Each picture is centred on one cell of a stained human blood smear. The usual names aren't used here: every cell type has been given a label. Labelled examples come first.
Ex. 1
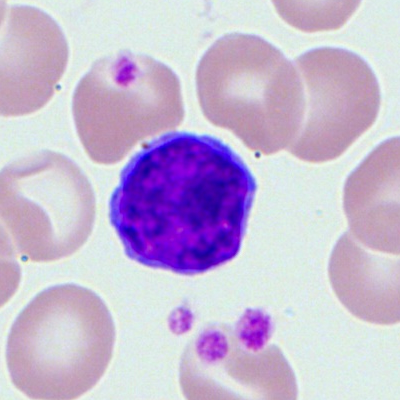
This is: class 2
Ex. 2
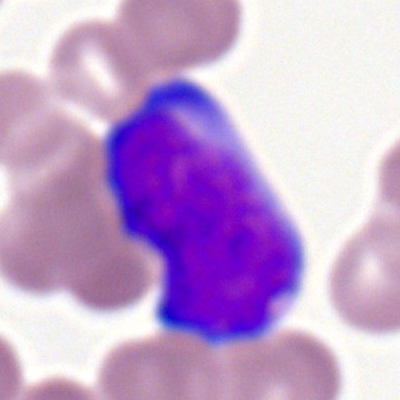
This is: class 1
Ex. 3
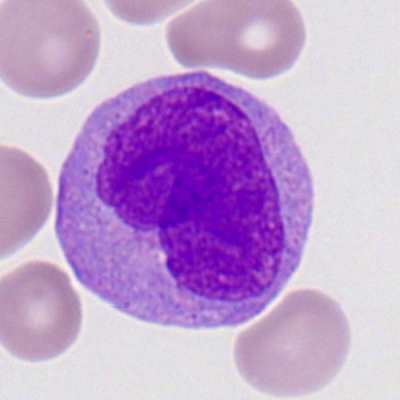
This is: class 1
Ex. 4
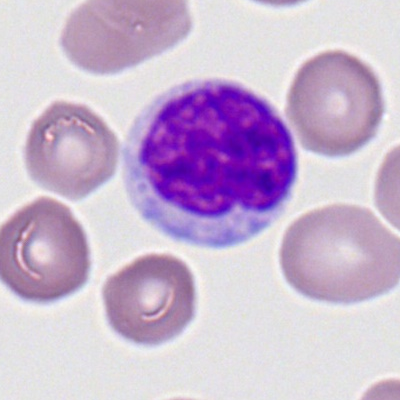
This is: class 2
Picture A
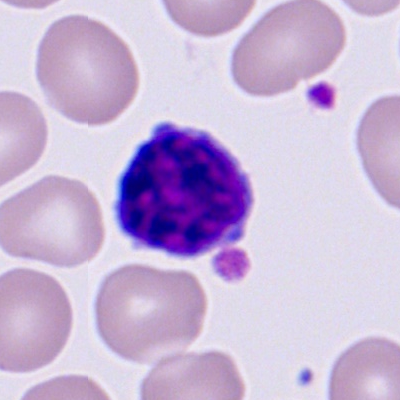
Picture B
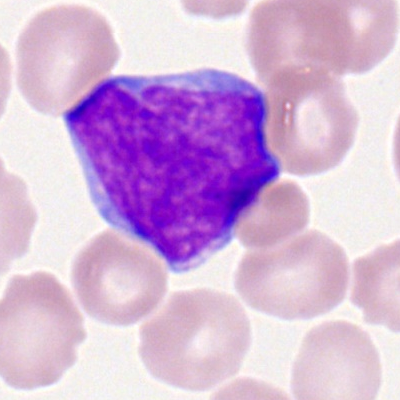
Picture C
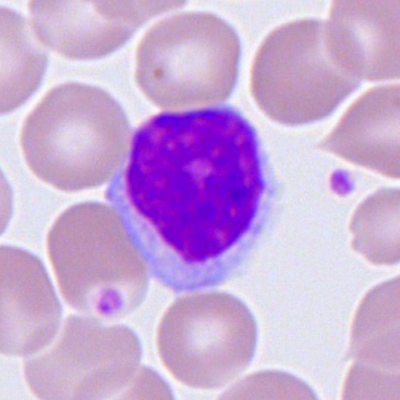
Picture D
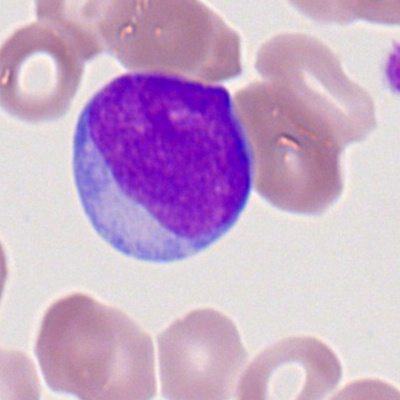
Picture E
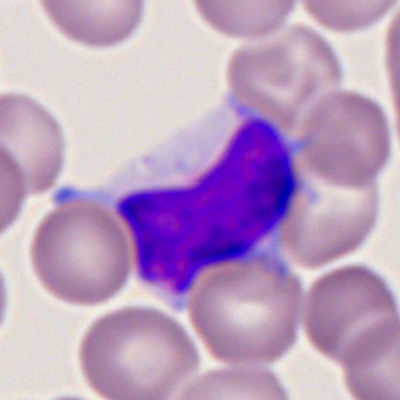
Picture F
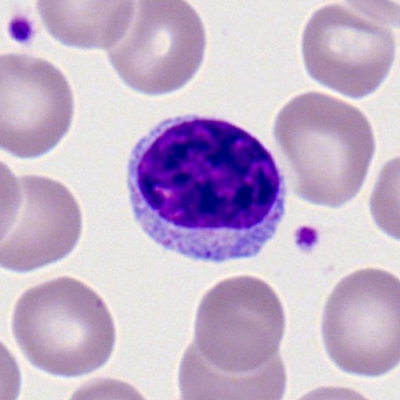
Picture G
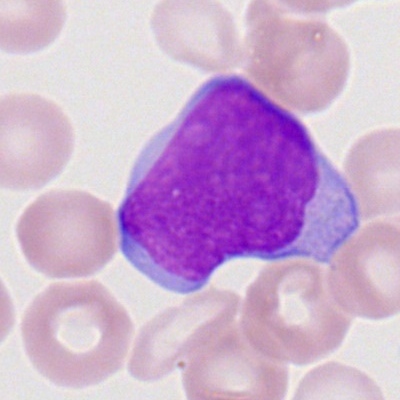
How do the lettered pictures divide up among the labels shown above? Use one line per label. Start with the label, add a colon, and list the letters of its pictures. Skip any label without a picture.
class 2: A, C, E, F
class 1: B, D, G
